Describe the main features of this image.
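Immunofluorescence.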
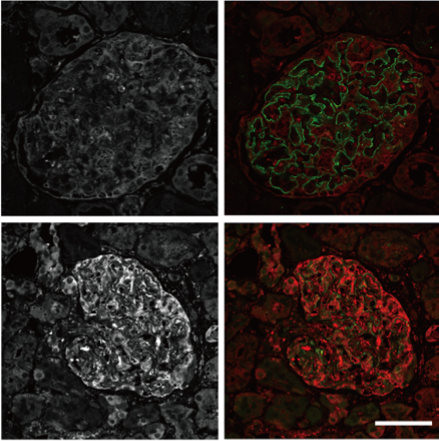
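These are glomeruli, rounded tufts of capillary loops set among kidney tubules. In the upper pair the green signal lines the outer surfaces of the capillary loops and the red is faint and diffuse. In the lower pair the grey and red channels are much brighter throughout the tuft, so the merged view is dominated by red along the loops.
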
